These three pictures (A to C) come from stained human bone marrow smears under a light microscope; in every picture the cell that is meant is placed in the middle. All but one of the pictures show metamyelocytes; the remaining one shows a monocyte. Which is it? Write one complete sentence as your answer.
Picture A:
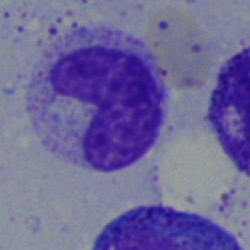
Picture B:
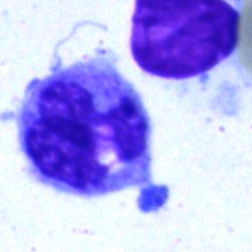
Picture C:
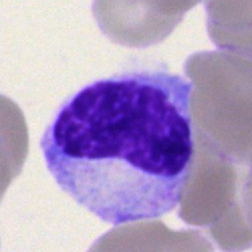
The picture with the monocyte is B.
